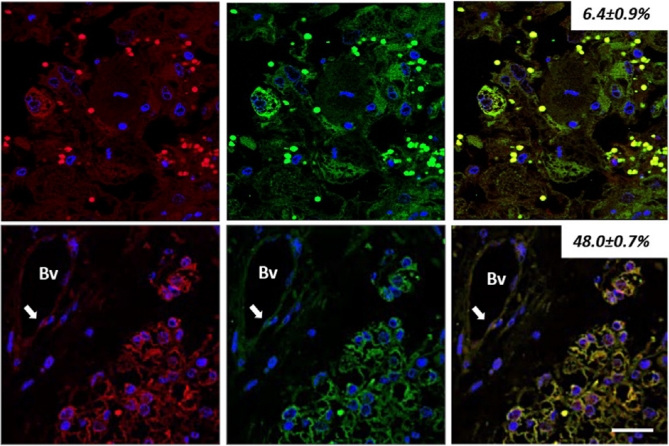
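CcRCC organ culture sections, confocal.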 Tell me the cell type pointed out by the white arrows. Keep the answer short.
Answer: Endothelial cells.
